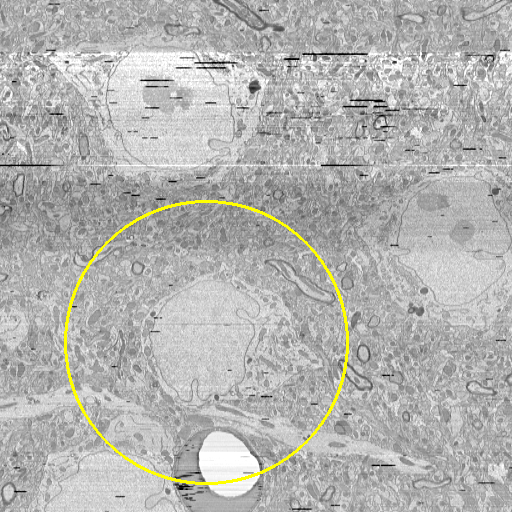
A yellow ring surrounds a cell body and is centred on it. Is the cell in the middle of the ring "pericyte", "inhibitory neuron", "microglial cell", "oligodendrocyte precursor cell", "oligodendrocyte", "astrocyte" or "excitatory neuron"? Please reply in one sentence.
The ring is centred on an inhibitory neuron.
